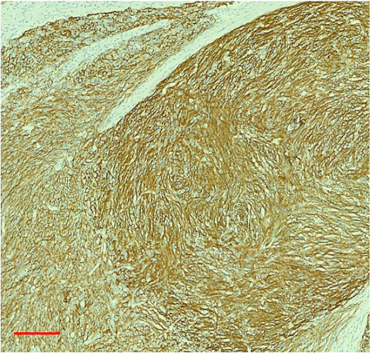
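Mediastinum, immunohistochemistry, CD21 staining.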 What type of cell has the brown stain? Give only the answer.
Tumor cells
